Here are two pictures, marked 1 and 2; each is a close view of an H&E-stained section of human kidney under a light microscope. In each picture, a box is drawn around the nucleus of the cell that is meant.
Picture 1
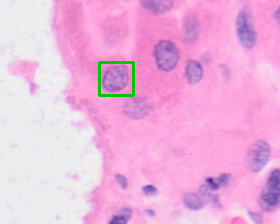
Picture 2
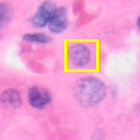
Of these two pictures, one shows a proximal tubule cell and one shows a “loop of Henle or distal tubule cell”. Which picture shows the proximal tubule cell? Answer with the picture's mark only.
1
